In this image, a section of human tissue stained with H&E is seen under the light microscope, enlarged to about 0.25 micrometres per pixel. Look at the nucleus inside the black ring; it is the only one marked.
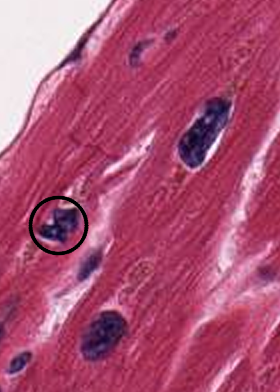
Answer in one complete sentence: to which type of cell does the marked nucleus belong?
Marked in this picture is the nucleus of a cardiomyocyte.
